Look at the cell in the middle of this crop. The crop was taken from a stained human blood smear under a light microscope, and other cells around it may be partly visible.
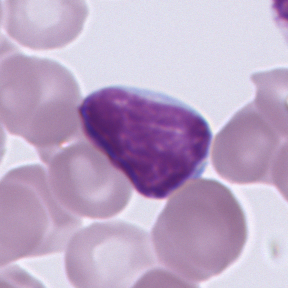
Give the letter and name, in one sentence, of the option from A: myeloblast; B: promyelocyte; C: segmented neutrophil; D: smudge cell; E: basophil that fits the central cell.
Option A is right in identifying the central cell as a myeloblast.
